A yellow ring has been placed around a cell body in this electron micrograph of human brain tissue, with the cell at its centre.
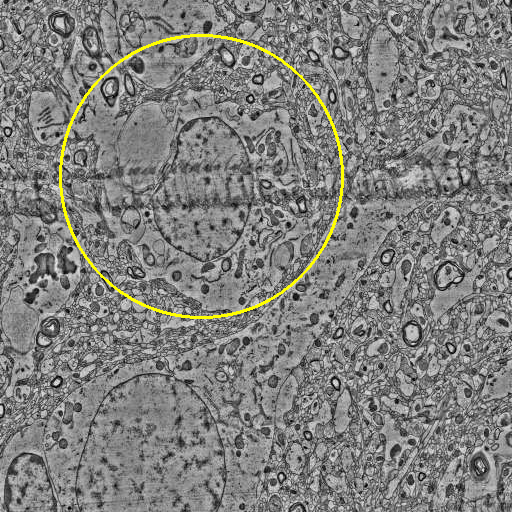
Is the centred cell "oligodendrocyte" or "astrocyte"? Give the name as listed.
astrocyte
